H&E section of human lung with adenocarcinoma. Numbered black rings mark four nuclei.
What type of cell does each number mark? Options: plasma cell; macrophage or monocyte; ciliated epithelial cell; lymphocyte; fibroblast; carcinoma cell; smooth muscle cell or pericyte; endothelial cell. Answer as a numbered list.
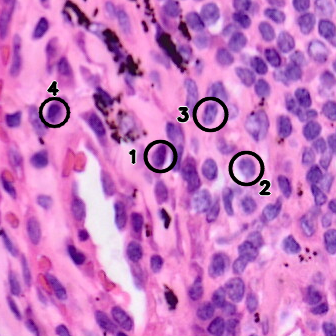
1. plasma cell
2. lymphocyte
3. lymphocyte
4. plasma cell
